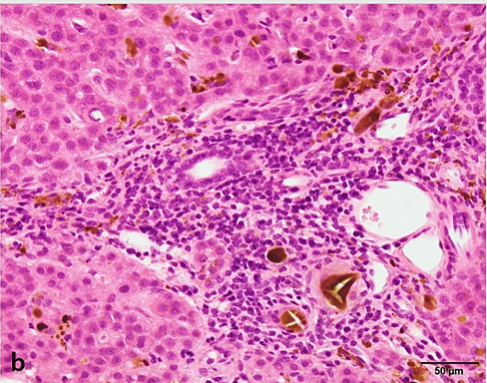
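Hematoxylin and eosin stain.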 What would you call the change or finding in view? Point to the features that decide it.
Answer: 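Lymphocytic infiltration. A dense cluster of small cells with round dark purple nuclei and scant cytoplasm fills the centre. The cluster surrounds several thin-walled vessel-like spaces. Larger pink polygonal cells lie on either side of the cluster.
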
